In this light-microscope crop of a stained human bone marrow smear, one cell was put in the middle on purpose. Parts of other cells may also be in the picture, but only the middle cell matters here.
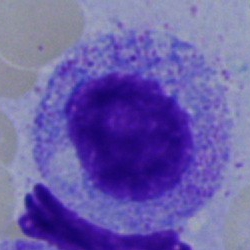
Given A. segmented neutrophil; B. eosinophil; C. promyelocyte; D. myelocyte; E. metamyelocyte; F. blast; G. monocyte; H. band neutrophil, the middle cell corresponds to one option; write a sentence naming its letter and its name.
The cell in the middle is correctly identified as a myelocyte in option D.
